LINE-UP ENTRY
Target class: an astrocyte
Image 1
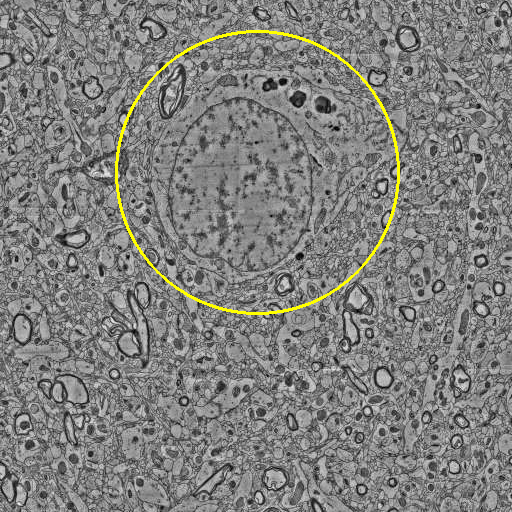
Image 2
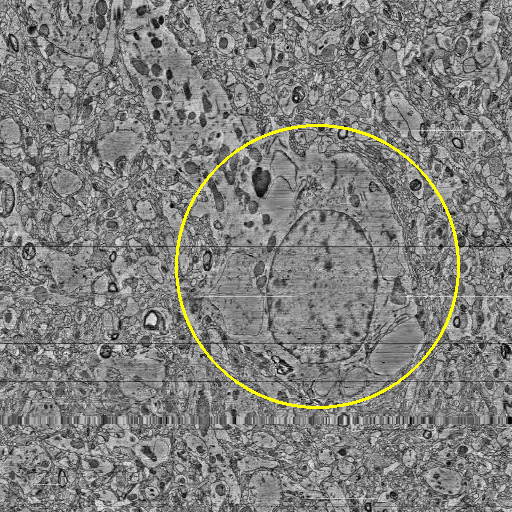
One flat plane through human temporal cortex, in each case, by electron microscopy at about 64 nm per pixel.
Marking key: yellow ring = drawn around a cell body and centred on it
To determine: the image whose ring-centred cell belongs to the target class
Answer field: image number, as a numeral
2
